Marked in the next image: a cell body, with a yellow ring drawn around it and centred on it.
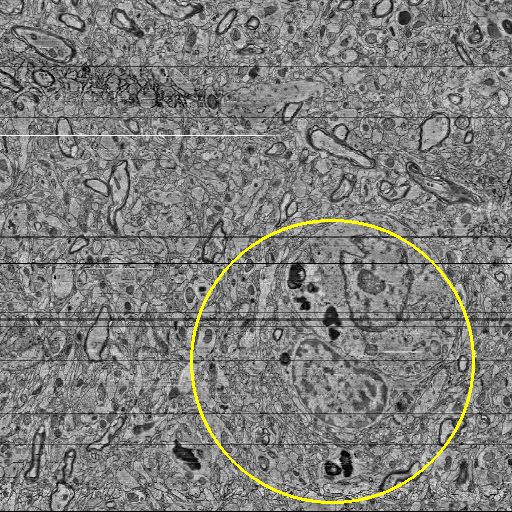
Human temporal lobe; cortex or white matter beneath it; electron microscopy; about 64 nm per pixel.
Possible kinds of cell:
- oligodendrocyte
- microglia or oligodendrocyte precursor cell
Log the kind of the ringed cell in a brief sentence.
The ringed cell body is that of a microglial cell or oligodendrocyte precursor cell.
